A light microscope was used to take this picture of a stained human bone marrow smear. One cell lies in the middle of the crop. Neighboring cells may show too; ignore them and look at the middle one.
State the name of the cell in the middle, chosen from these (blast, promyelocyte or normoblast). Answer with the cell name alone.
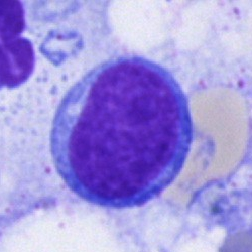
blast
